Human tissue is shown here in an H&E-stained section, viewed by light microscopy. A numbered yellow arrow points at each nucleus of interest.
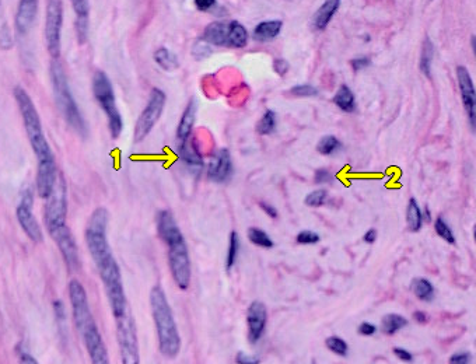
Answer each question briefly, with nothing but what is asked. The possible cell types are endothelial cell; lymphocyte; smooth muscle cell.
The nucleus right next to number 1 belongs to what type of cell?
endothelial cell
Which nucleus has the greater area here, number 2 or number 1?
1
